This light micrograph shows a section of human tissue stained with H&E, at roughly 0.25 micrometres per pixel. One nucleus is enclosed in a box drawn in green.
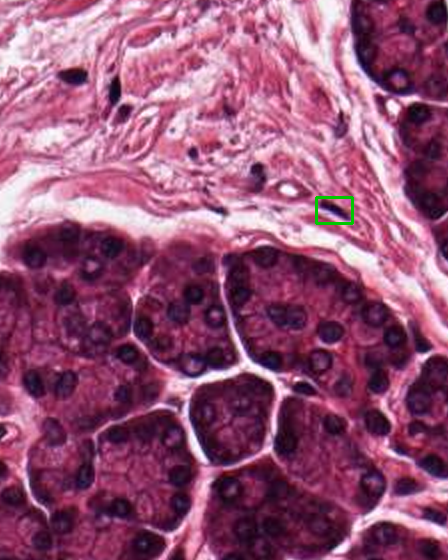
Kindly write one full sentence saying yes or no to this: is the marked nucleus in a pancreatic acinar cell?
No, the marked nucleus does not belong to a pancreatic acinar cell; it belongs to a supporting cell.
